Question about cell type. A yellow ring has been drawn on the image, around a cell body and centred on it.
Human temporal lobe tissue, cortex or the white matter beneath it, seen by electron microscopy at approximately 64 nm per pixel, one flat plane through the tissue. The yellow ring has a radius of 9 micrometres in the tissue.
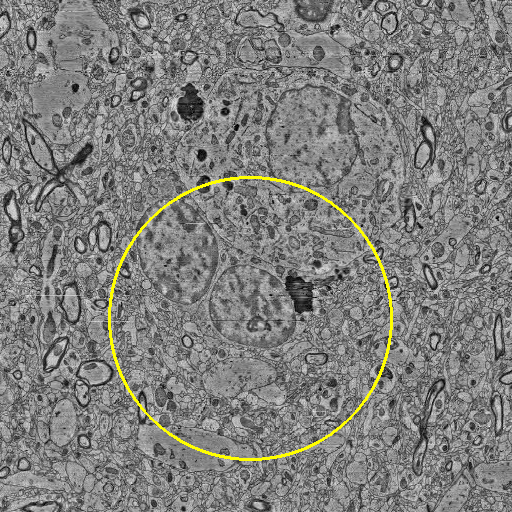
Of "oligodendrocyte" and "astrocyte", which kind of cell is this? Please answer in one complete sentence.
At the centre of the ring lies an oligodendrocyte.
